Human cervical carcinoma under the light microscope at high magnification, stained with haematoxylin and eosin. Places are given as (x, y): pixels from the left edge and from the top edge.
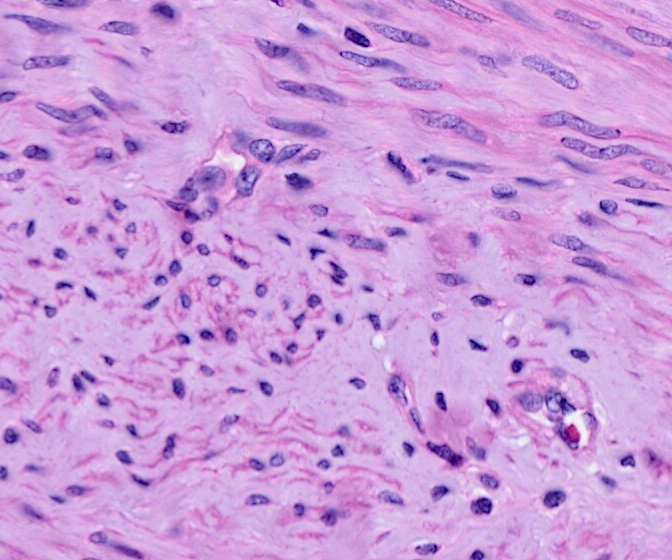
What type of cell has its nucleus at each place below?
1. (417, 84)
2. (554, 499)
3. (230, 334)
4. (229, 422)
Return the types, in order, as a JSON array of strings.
["smooth muscle cell", "lymphocyte", "smooth muscle cell", "smooth muscle cell"]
